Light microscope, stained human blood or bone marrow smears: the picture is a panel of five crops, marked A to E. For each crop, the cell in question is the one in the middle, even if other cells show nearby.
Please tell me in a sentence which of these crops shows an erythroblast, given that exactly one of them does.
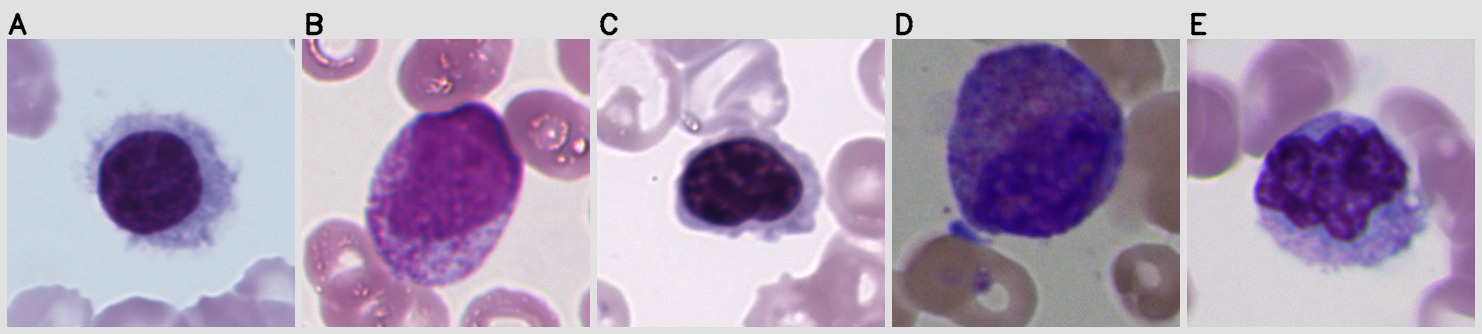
Within this set, crop C is the one with an erythroblast at its center.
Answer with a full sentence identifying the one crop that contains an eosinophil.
The crop showing an eosinophil in this series is crop D.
